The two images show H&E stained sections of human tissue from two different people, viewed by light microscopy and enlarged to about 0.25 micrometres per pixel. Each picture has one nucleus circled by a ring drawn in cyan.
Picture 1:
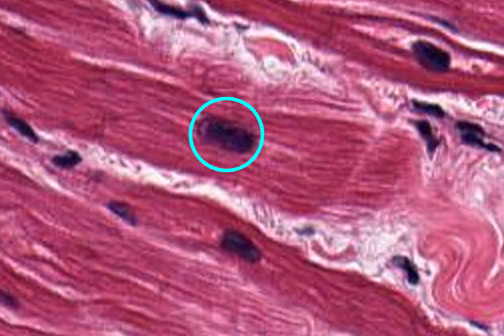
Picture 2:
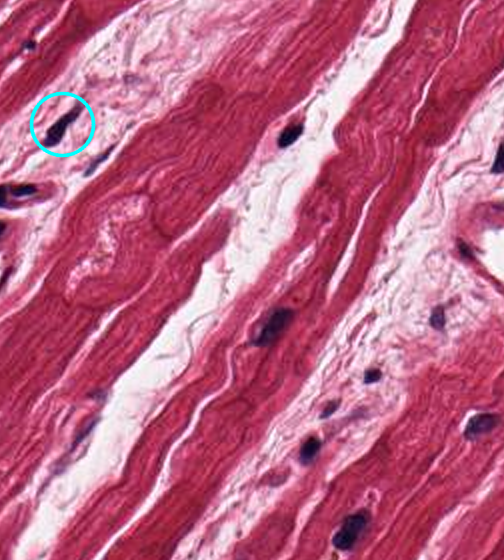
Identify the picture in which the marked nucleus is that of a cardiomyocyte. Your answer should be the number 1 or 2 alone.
1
